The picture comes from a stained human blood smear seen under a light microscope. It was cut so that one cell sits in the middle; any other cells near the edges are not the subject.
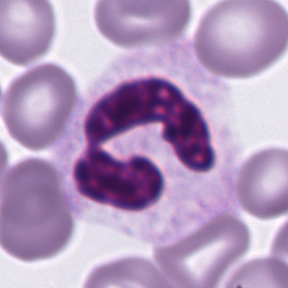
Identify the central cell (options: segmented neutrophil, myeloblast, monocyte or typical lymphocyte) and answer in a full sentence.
The cell that lies at the centre of the crop is a segmented neutrophil.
